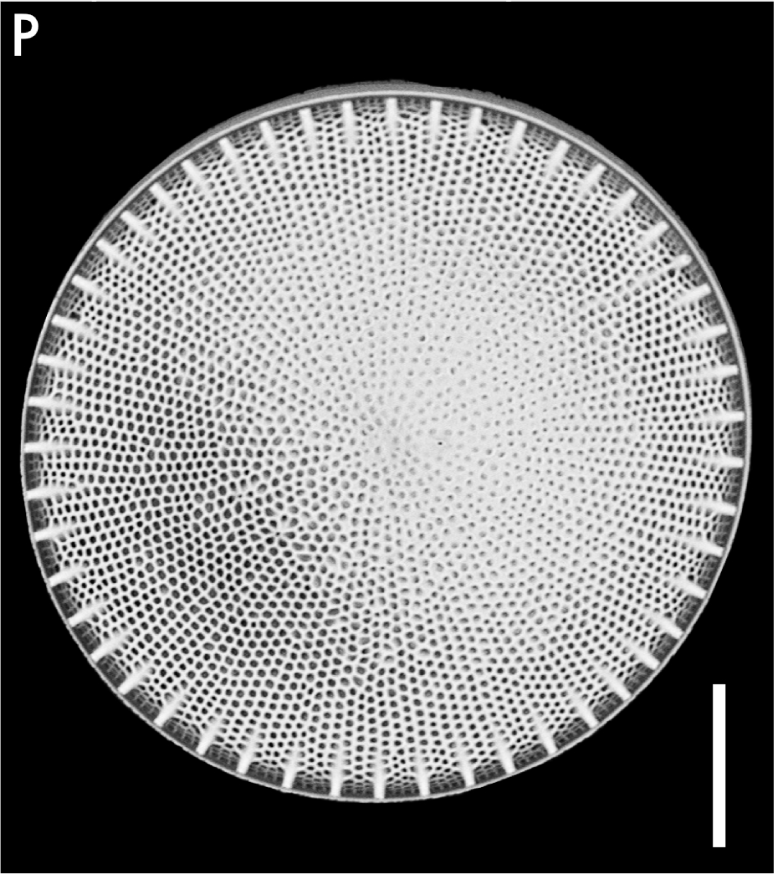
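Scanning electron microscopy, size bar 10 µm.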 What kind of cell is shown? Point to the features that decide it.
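A circular valve seen face on. Areolae arranged in radiating rows from the centre. A ring of short processes around the margin.
Thalassiosira.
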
